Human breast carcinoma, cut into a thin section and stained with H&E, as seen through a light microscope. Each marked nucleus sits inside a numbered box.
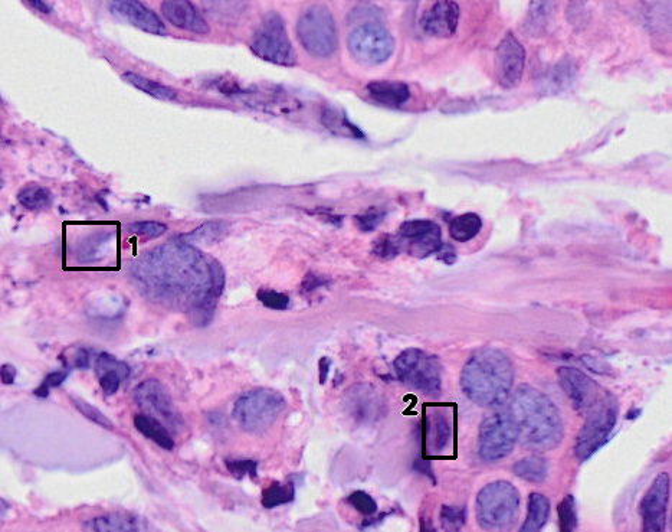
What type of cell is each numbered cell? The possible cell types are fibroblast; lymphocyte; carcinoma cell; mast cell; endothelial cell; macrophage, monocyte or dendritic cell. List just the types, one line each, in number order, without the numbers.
endothelial cell
carcinoma cell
